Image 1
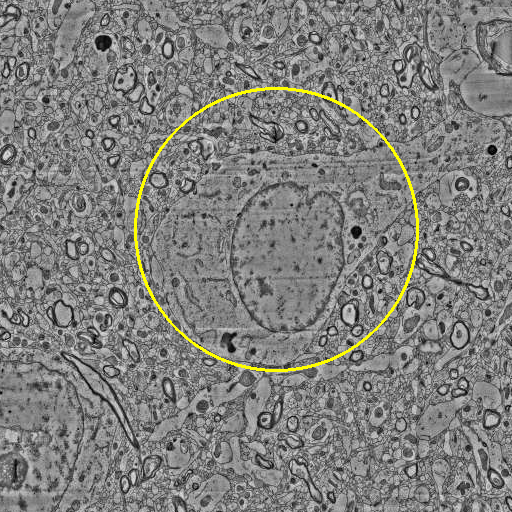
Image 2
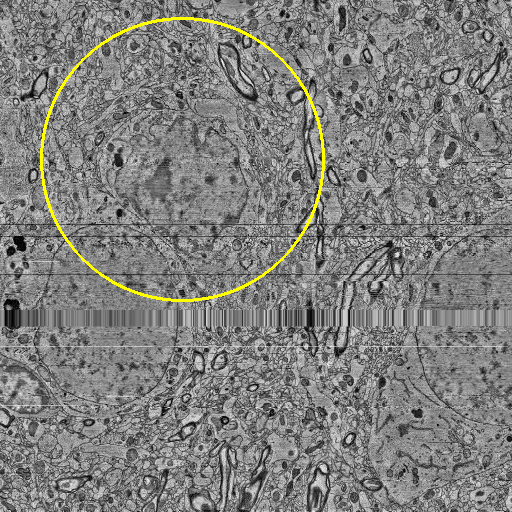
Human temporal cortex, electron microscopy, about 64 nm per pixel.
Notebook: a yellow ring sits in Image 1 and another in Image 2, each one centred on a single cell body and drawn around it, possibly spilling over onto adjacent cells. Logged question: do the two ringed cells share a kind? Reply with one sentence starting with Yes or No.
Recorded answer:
No, the centre cells inside the rings of Image 1 and Image 2 are of two kinds.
